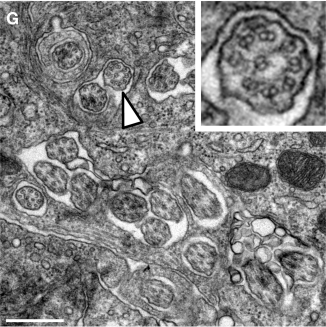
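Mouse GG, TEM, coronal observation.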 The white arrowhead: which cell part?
Cilium.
